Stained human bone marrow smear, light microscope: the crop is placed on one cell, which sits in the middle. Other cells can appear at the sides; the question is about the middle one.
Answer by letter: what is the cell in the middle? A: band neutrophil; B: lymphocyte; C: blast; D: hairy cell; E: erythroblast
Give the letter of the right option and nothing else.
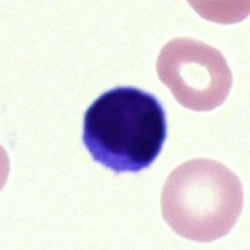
B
